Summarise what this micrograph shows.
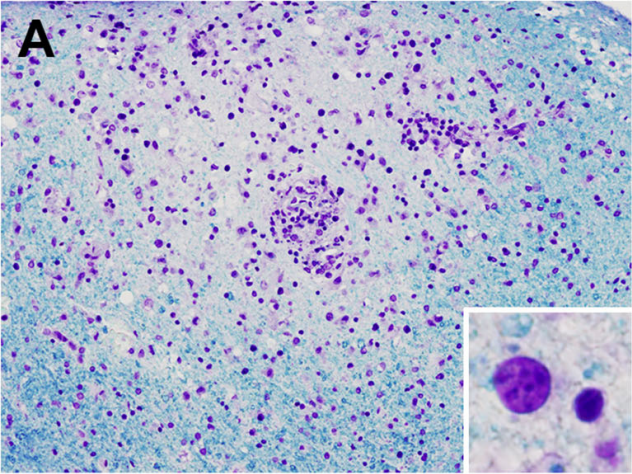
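White matter in which a pale, poorly bounded zone has lost the blue staining seen around it and is crowded with purple nuclei, including a cluster of cells around a vessel. The inset at higher magnification shows one enlarged, rounded purple nucleus beside a much smaller dark one. This is a small ill-defined demyelinating lesion with enlarged oligodendroglial nuclei.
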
